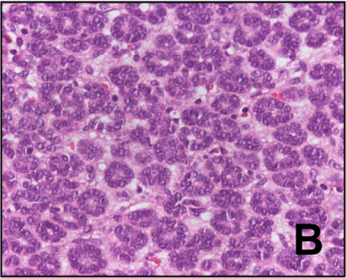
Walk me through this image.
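Tumor cells are arranged in an acinar pattern of small, closely packed round clusters. Each cluster shows cells with nuclei set toward the periphery around a small central lumen. The nuclei are round to oval and fairly uniform. The cytoplasm is pale pink to purple. Little stroma lies between the clusters.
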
